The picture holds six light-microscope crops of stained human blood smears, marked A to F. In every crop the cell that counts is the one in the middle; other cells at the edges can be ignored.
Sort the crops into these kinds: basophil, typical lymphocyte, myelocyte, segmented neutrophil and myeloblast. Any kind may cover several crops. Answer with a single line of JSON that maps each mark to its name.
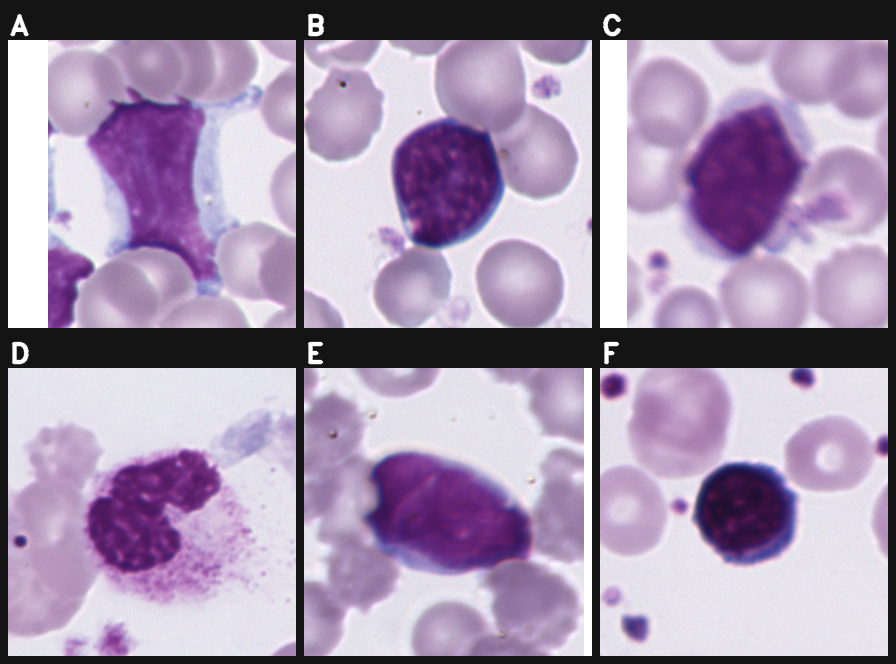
{"A": "typical lymphocyte", "B": "typical lymphocyte", "C": "typical lymphocyte", "D": "segmented neutrophil", "E": "myeloblast", "F": "typical lymphocyte"}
